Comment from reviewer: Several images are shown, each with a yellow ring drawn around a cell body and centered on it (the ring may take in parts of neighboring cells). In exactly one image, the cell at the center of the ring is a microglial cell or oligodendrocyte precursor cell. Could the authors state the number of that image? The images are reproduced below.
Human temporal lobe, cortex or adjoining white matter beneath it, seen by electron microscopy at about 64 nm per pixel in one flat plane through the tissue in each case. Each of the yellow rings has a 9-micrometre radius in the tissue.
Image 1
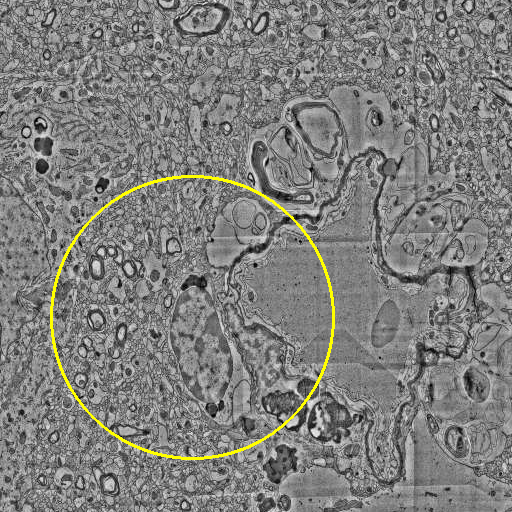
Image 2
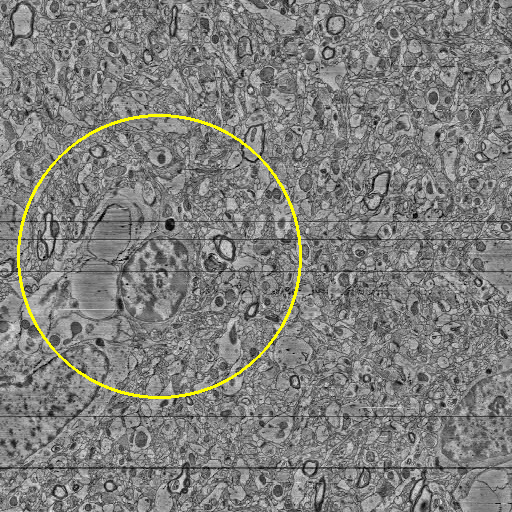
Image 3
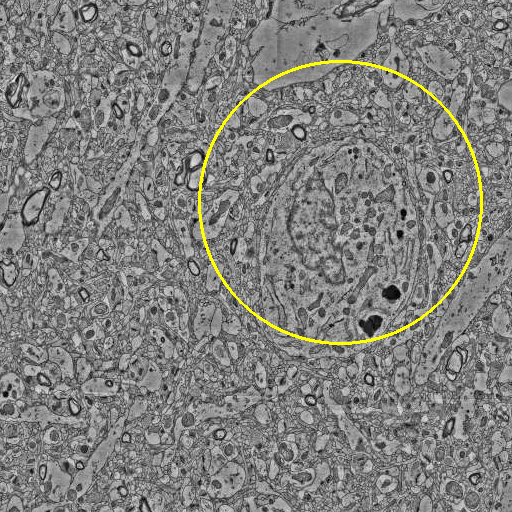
1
